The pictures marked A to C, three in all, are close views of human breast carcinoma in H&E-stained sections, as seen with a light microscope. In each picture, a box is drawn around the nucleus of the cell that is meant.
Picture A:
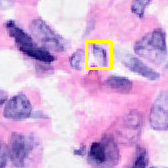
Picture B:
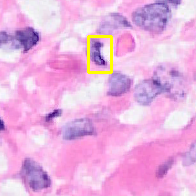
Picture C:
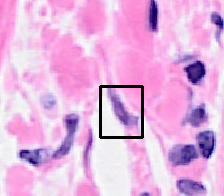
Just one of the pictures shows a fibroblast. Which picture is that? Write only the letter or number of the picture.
C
